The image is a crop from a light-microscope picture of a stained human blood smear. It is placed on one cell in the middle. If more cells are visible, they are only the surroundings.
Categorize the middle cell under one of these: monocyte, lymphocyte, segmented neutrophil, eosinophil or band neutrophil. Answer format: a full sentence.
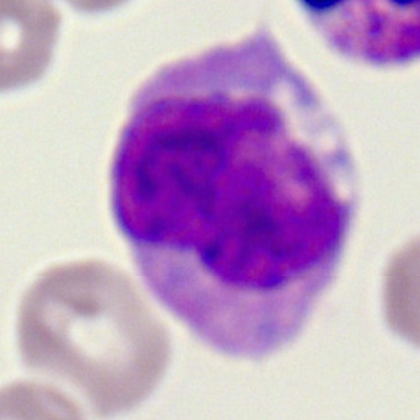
Whatever else lies nearby, the middle cell is a monocyte.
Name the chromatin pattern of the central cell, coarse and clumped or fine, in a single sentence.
Coarse clumps are absent, and the chromatin is fine throughout.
